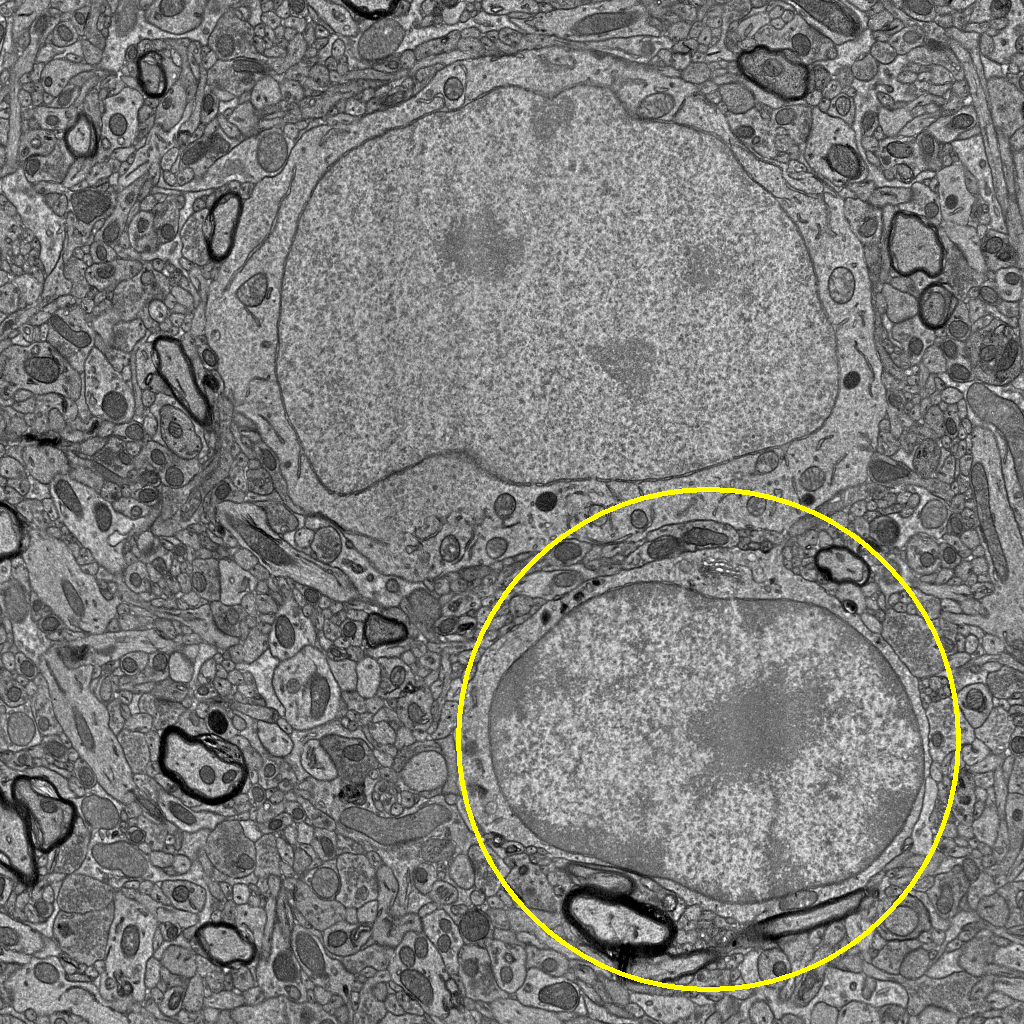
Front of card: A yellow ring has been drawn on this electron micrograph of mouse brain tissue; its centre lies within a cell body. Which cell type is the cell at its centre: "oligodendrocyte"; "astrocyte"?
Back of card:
oligodendrocyte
